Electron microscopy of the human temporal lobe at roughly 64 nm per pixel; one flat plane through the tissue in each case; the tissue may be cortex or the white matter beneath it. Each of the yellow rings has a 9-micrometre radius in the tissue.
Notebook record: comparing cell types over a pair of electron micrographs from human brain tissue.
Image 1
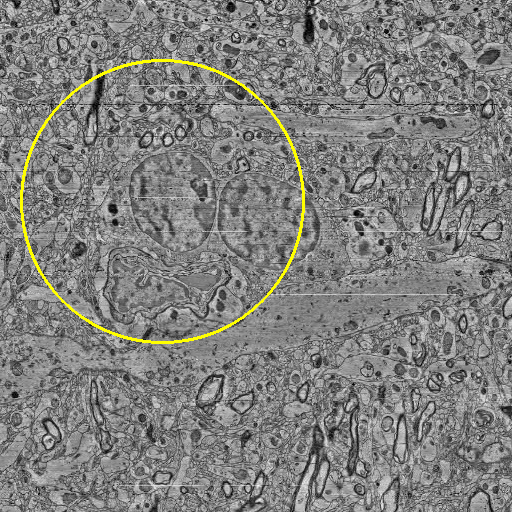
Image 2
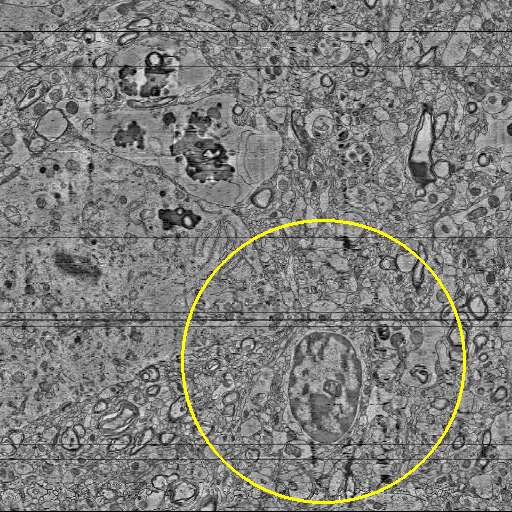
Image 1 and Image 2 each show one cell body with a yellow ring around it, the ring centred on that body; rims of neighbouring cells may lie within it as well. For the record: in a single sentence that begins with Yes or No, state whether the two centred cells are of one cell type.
No, two cell types are found among the centred cells of Image 1 and Image 2.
